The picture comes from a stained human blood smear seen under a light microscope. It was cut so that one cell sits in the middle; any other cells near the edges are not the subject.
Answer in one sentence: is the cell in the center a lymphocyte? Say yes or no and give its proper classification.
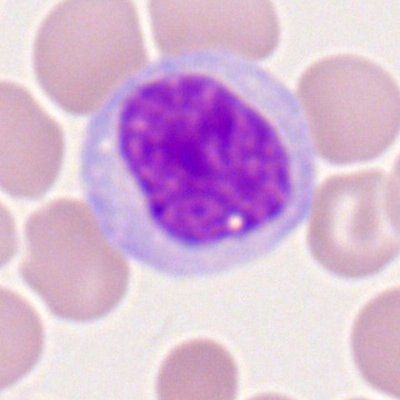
No, the cell placed in the centre is a monocyte and is not a lymphocyte.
